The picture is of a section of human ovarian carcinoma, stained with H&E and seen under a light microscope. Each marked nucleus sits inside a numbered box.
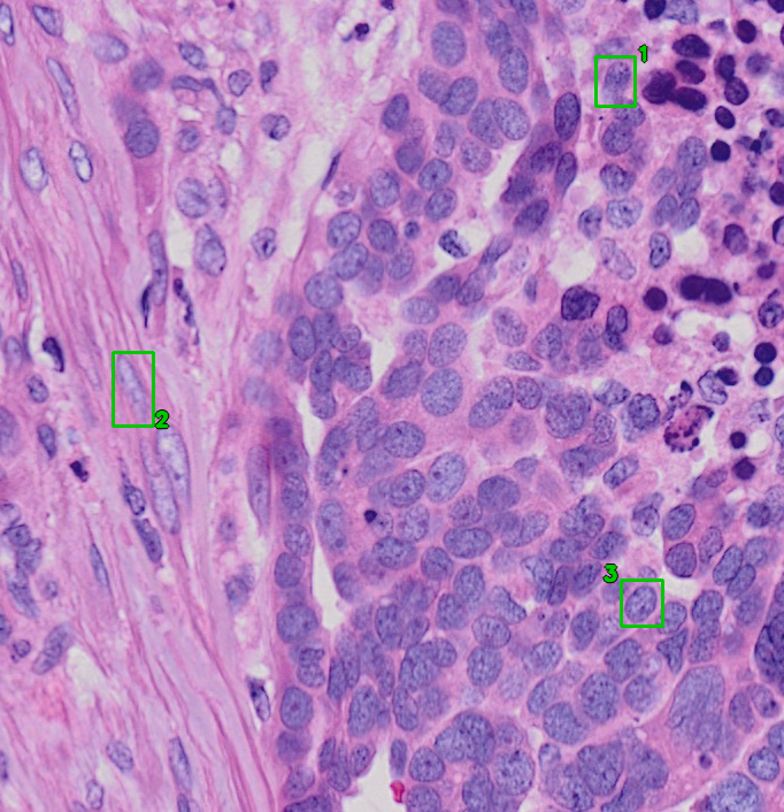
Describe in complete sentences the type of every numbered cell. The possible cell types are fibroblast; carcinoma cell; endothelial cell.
Cell 1 is a carcinoma cell, cell 2 is a fibroblast and cell 3 is a carcinoma cell.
